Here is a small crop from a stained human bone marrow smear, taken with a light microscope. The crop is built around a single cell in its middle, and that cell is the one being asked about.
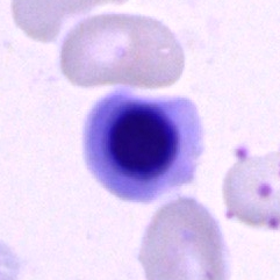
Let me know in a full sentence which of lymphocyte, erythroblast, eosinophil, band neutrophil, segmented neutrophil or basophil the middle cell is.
The crop centres on a single cell, and that cell is an erythroblast.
